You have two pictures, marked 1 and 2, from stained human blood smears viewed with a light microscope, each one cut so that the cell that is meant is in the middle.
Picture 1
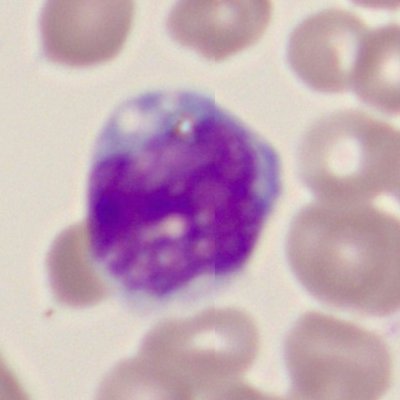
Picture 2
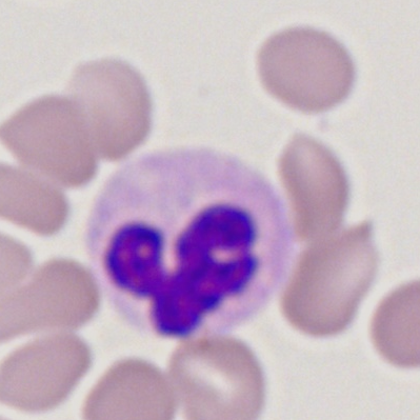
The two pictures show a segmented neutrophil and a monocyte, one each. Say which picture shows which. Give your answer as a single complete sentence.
The cell in picture 1 is a monocyte, and the one in picture 2 is a segmented neutrophil.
